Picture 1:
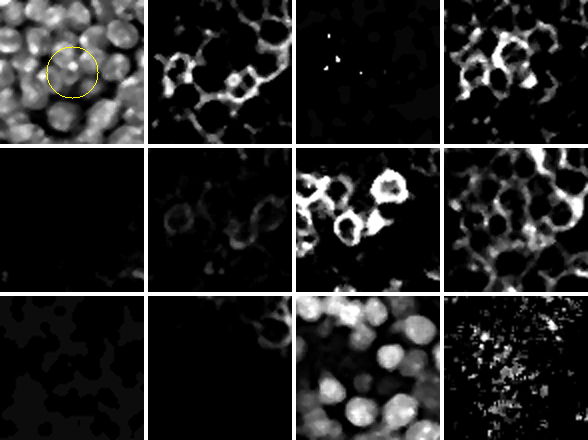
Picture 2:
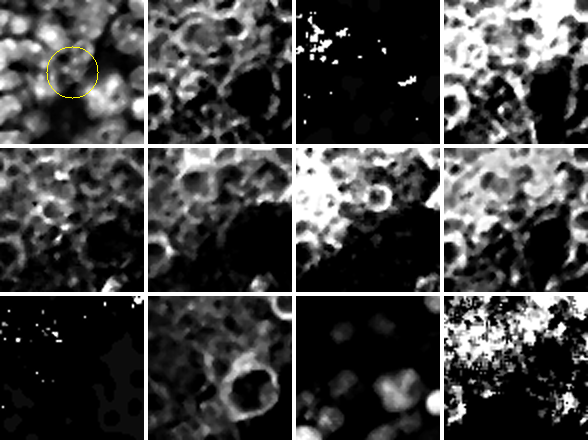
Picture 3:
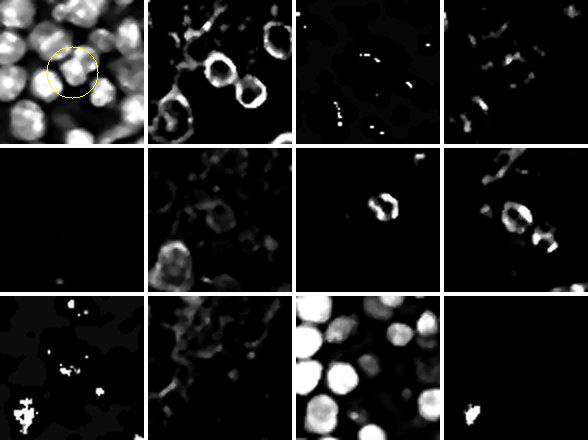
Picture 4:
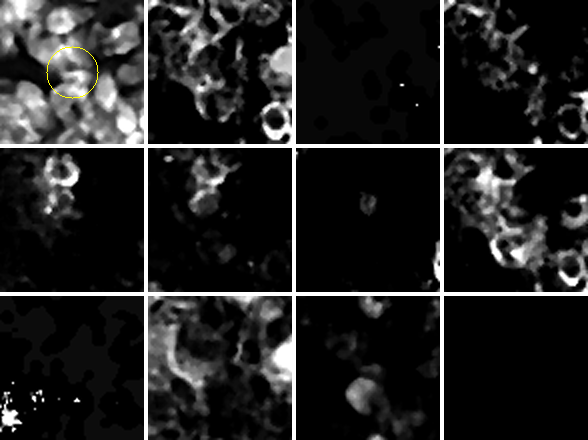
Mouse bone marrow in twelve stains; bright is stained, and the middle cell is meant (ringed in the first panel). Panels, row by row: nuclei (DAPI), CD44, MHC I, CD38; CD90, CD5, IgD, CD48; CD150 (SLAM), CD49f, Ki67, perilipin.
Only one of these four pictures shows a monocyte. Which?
Picture 3.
